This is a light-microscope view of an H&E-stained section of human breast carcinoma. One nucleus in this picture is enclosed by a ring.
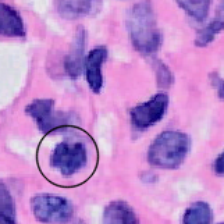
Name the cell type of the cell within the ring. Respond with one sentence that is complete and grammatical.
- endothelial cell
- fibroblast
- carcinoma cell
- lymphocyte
For the purposes of cell typing, the cell within the ring is categorized as a lymphocyte.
